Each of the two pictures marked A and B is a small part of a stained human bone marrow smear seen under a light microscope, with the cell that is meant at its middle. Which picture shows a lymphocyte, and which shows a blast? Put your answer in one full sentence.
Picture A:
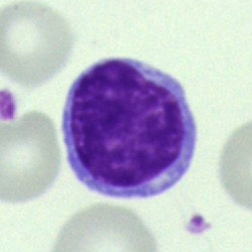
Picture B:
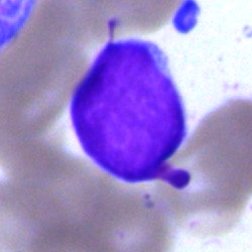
Picture A shows a lymphocyte and picture B shows a blast.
